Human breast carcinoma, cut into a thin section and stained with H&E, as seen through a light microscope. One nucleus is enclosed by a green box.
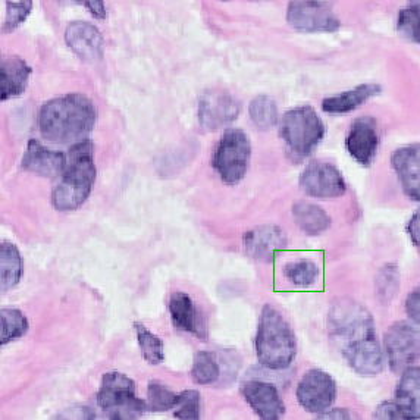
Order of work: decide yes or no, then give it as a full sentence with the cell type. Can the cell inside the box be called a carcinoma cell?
No, the cell inside the box is not a carcinoma cell, being instead a lymphocyte.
